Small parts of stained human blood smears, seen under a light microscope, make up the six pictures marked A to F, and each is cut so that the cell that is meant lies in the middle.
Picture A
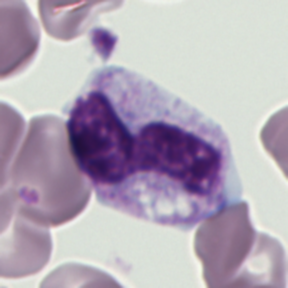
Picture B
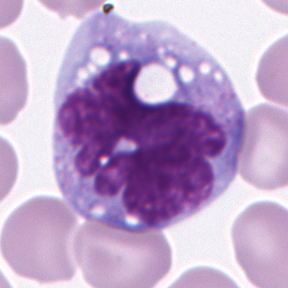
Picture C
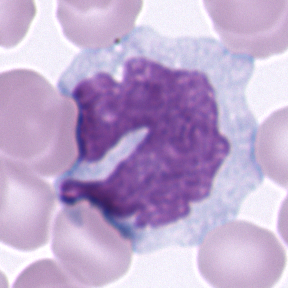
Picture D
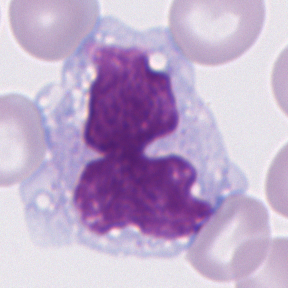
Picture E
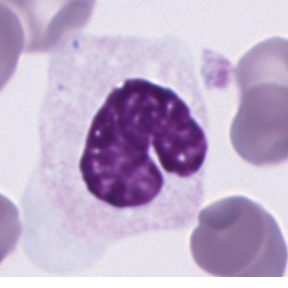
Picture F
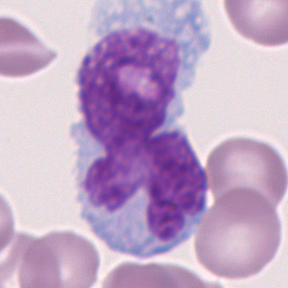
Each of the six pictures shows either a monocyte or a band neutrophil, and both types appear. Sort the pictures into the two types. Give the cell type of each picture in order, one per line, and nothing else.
band neutrophil
monocyte
monocyte
monocyte
band neutrophil
monocyte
